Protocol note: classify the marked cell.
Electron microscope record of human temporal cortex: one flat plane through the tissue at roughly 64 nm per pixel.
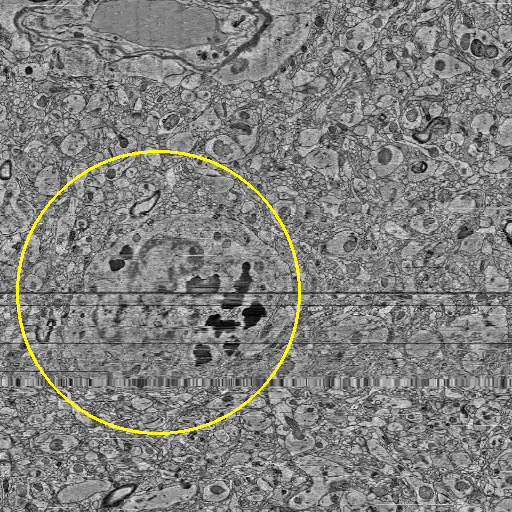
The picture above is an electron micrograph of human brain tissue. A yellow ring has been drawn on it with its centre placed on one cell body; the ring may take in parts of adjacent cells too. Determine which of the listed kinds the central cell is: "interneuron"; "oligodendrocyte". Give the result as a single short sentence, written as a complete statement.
The central cell is an interneuron.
